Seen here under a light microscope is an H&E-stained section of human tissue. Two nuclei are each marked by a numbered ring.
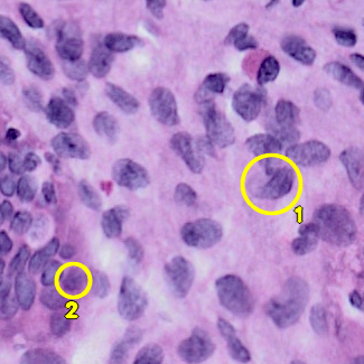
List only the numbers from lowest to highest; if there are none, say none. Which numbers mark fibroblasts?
1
